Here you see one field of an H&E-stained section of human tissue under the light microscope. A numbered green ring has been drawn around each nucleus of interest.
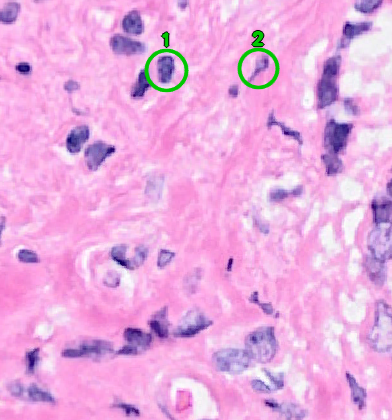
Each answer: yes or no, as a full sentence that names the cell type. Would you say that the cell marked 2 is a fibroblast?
Yes, so the cell at label 2 is a fibroblast.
